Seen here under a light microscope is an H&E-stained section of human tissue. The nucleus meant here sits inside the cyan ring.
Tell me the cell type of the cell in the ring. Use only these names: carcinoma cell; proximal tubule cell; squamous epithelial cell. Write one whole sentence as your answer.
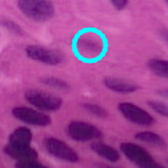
The category to which the cell in the ring belongs is that of a squamous epithelial cell.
